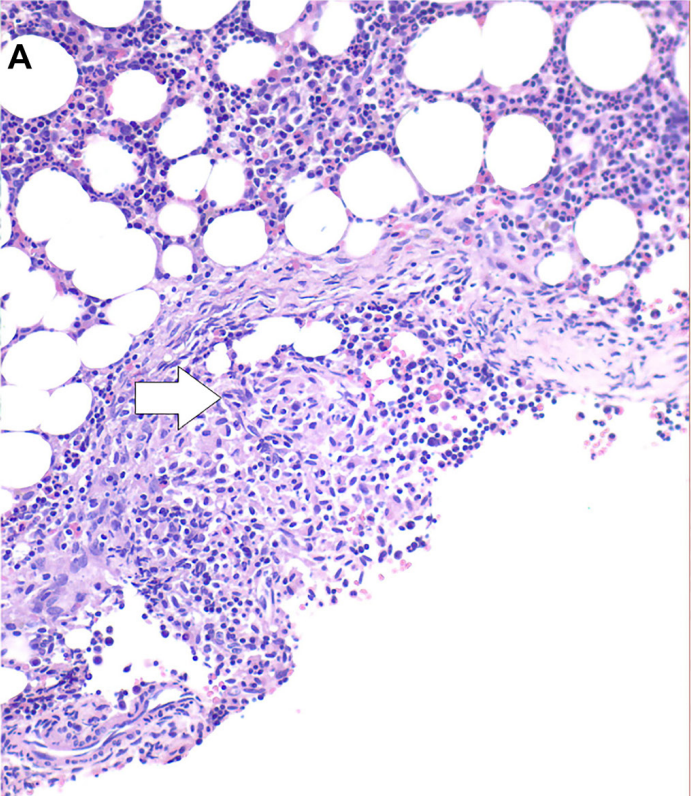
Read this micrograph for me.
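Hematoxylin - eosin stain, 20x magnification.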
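This is bone marrow, with many round clear fat spaces and dense sheets of small hematopoietic cells with dark round nuclei between them. Pink fibrous bands run along and around the aggregate, and scattered red blood cells lie at its lower edge.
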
